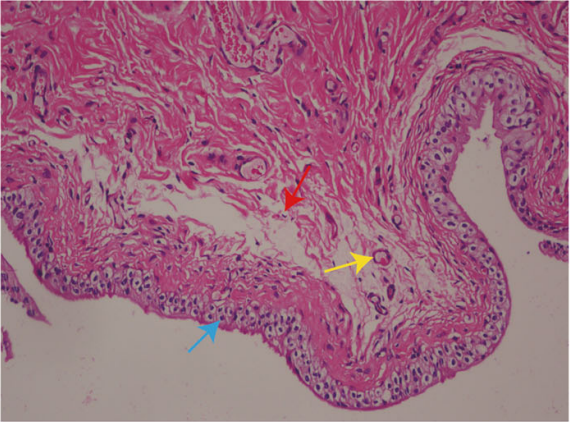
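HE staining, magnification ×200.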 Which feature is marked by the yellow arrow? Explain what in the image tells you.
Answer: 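Interstitial vessels. The arrow points to a small ring-shaped profile with a lumen in the connective tissue. The profile lies in the stroma beneath the cell lining.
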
